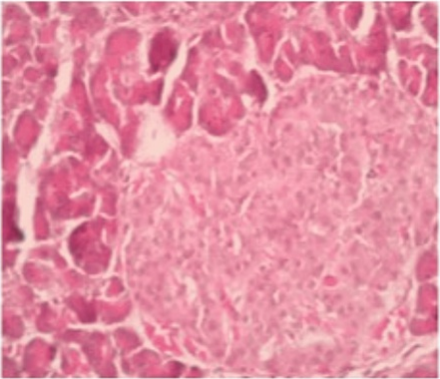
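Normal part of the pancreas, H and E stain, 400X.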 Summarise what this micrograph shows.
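This is pancreatic tissue showing an islet of Langerhans surrounded by exocrine acini. The islet is a large, rounded, pale pink cluster of cells with small round nuclei and lightly staining cytoplasm, arranged loosely rather than around lumina. A thin rim of connective tissue separates it from the surrounding acini. The acinar cells around it are more deeply eosinophilic and are grouped into small rounded units. The difference in staining intensity makes the endocrine islet stand out clearly from the exocrine tissue.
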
